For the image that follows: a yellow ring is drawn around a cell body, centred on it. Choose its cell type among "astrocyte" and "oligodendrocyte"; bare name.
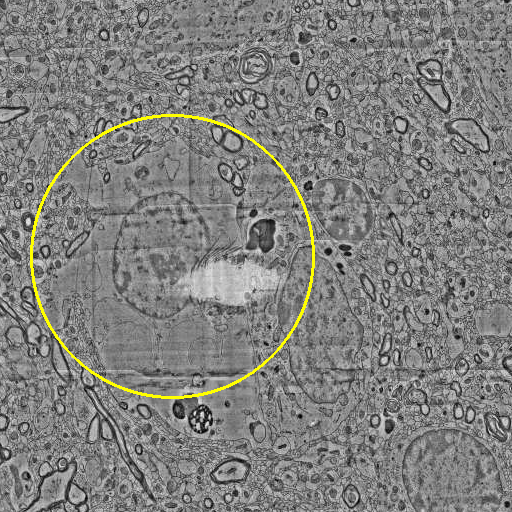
astrocyte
